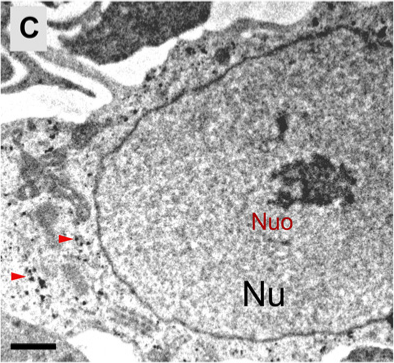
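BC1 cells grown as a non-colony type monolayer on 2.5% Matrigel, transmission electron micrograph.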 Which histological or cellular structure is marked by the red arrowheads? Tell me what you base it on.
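The arrowheads point to small electron-dense black granules. The granules lie in the cytoplasm outside the nuclear envelope. On this evidence: glycogen aggregates.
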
